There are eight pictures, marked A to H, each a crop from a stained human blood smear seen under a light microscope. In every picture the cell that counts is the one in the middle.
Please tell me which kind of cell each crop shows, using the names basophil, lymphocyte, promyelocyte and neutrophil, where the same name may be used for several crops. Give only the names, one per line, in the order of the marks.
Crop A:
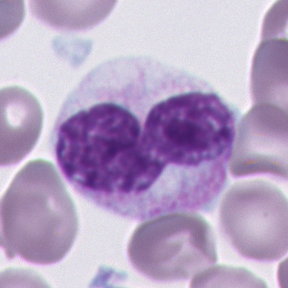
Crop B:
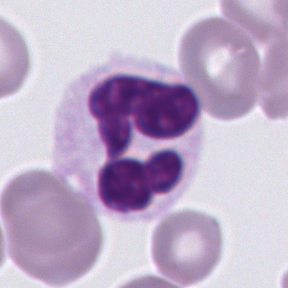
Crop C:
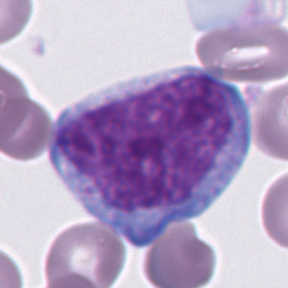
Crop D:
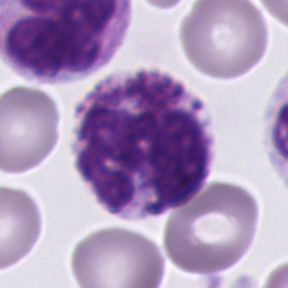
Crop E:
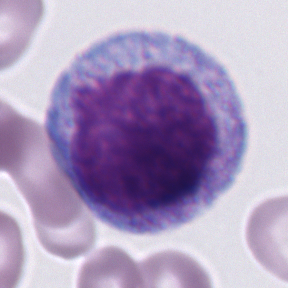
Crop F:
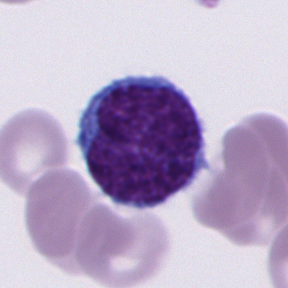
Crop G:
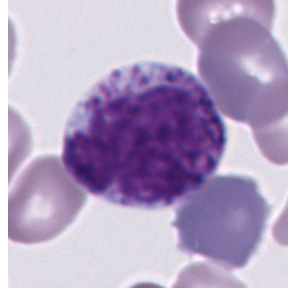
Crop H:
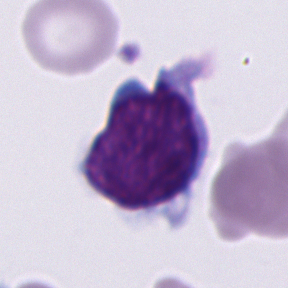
neutrophil
neutrophil
promyelocyte
basophil
promyelocyte
lymphocyte
basophil
lymphocyte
